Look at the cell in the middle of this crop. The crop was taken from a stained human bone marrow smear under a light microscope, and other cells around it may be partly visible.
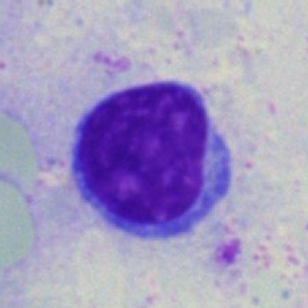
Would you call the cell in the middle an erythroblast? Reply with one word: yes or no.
no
